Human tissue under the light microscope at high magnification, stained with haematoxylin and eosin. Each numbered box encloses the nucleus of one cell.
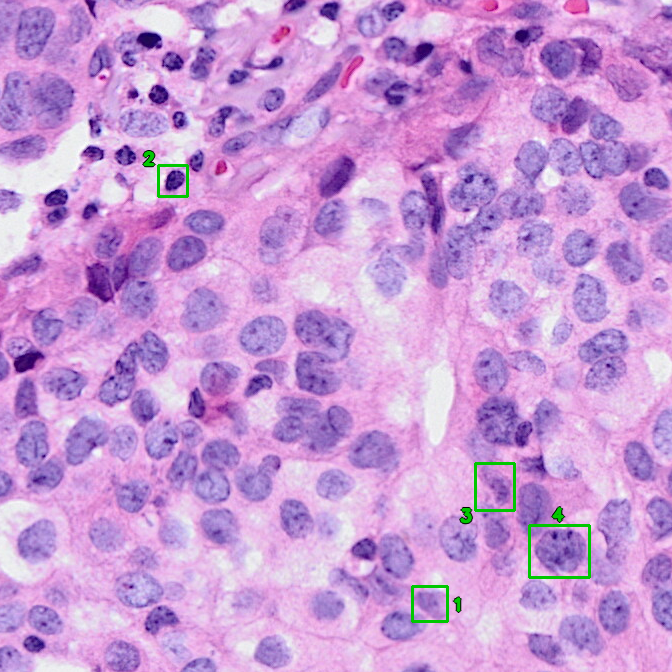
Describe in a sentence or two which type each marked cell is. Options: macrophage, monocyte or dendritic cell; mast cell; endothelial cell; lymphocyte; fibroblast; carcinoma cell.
Cells 1, 3 and 4 are carcinoma cells. Cell 2 is a lymphocyte.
